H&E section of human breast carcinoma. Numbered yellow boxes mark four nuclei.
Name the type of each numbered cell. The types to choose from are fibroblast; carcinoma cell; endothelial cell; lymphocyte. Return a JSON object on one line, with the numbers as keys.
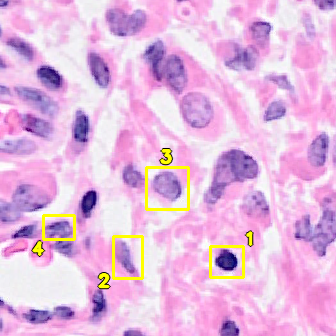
{"1": "lymphocyte", "2": "fibroblast", "3": "carcinoma cell", "4": "endothelial cell"}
